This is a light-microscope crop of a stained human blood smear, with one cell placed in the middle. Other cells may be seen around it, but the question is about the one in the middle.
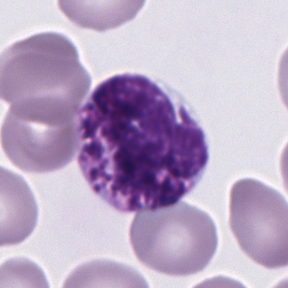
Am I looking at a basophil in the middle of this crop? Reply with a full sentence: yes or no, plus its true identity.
Yes, the crop's central cell is a basophil.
